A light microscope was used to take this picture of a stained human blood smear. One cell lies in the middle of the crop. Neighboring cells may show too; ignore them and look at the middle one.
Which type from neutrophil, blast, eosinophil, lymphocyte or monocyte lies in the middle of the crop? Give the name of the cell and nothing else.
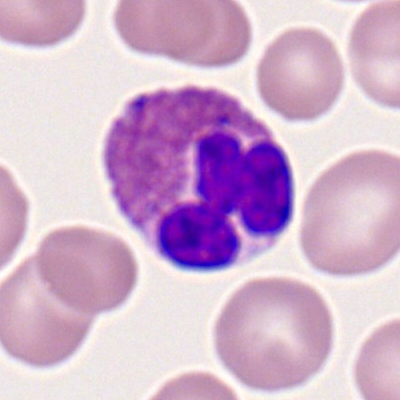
eosinophil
